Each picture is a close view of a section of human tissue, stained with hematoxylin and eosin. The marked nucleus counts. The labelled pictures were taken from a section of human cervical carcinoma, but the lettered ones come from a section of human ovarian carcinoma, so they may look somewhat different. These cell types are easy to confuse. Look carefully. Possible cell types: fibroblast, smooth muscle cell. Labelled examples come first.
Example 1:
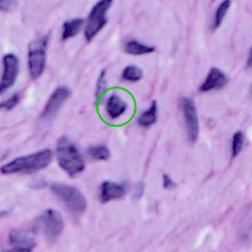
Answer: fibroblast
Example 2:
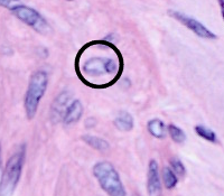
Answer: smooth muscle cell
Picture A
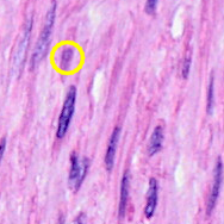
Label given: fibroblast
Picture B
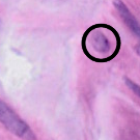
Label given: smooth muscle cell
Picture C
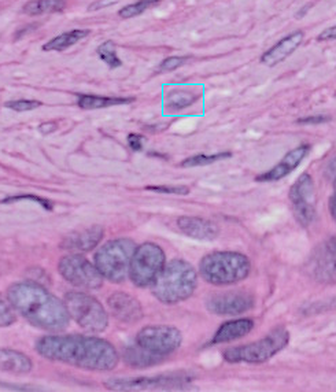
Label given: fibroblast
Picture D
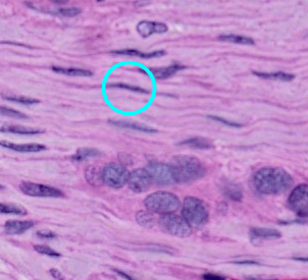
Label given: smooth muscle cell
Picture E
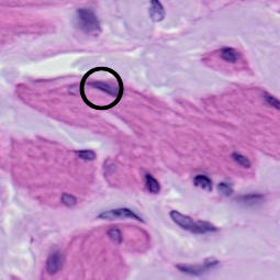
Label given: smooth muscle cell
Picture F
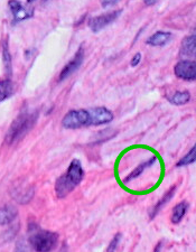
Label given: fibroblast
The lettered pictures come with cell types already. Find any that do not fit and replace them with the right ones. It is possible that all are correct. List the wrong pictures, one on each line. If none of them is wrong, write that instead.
D: change smooth muscle cell to fibroblast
